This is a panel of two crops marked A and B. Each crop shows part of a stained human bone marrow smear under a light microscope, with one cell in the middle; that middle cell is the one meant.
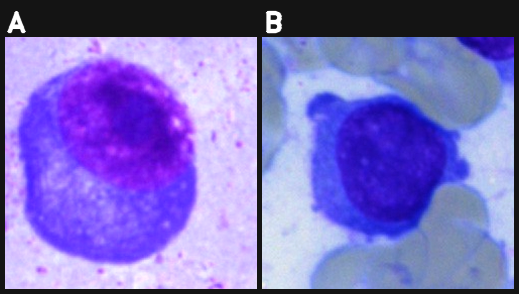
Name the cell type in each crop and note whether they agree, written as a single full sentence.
Yes, the cells of interest in both crops are plasma cells.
